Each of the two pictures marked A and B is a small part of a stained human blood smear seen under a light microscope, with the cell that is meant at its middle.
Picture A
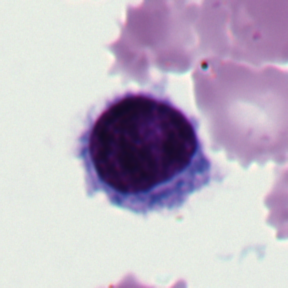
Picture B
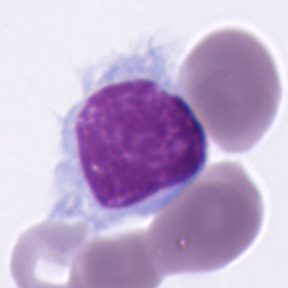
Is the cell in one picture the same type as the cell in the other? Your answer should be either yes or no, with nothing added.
yes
